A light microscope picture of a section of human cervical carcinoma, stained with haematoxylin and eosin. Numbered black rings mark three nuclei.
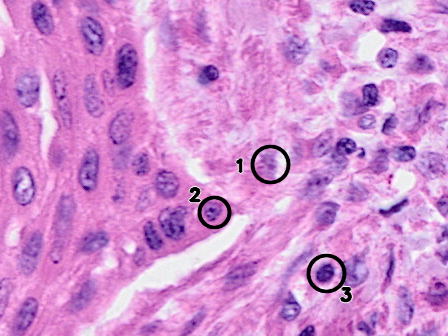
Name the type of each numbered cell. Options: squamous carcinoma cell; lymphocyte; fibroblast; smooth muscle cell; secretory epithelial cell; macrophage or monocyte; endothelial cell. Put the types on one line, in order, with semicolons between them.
fibroblast; squamous carcinoma cell; lymphocyte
